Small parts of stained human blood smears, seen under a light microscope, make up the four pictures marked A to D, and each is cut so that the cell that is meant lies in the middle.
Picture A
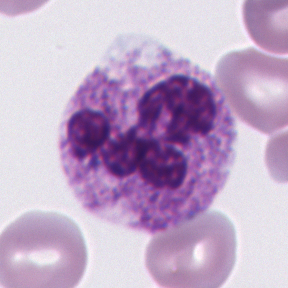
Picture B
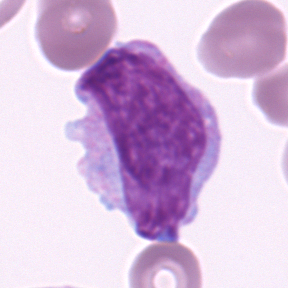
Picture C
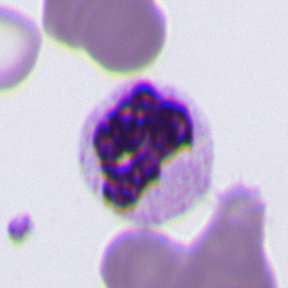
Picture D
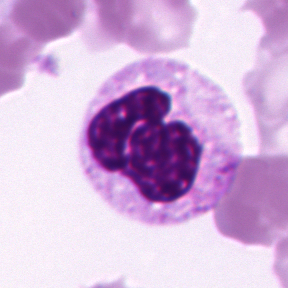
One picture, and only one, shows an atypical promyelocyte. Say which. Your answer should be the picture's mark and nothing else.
B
